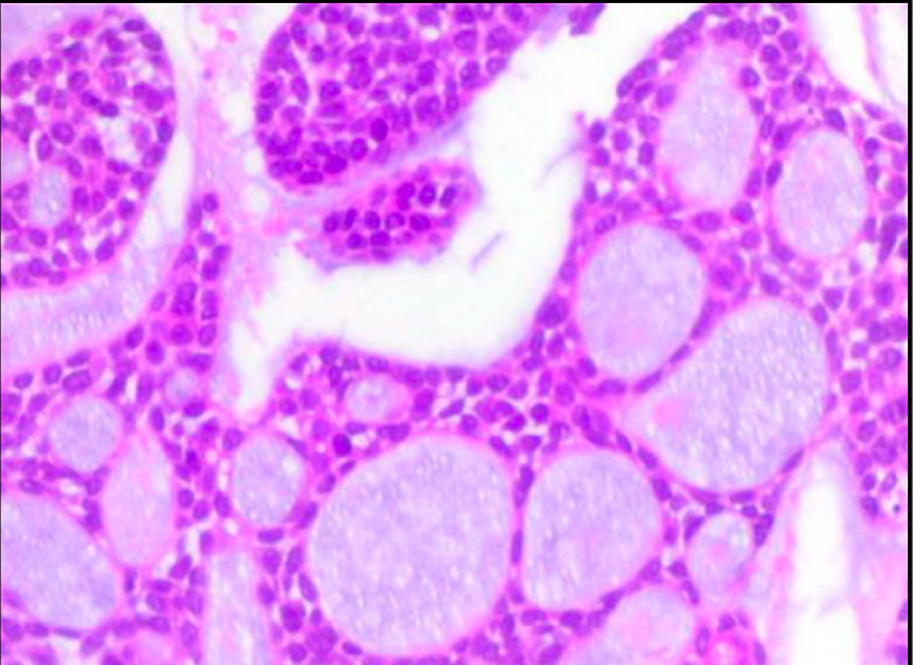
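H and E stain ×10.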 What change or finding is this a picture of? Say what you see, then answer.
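Cribriform. Sheets of cells are punched out by multiple round spaces, giving a sieve-like look. Some nests at the top are solid cell clusters without spaces.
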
